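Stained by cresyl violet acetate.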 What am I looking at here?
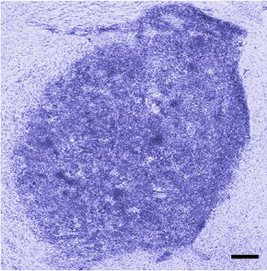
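A large, rounded tumor mass fills most of the field, stained densely and fairly evenly violet, with a well-defined edge against the paler, loosely textured surrounding brain tissue. Within the mass a few darker clusters and small pale spots are scattered.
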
